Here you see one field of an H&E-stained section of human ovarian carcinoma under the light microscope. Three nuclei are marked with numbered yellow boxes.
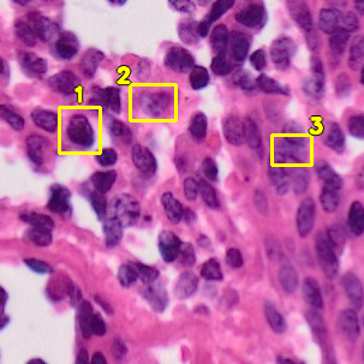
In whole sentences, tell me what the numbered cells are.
Cell 1 is a carcinoma cell, cell 2 is a macrophage or monocyte and cell 3 is a carcinoma cell.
